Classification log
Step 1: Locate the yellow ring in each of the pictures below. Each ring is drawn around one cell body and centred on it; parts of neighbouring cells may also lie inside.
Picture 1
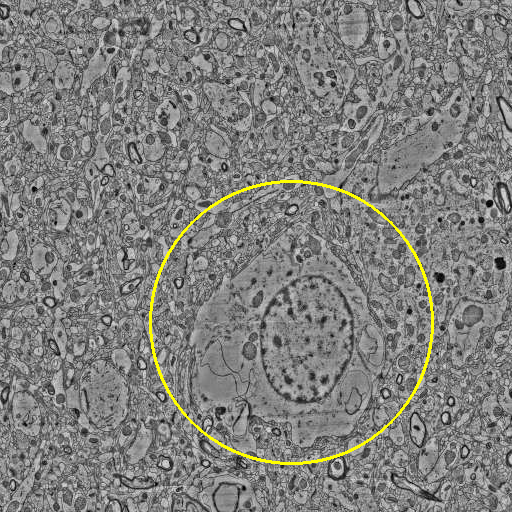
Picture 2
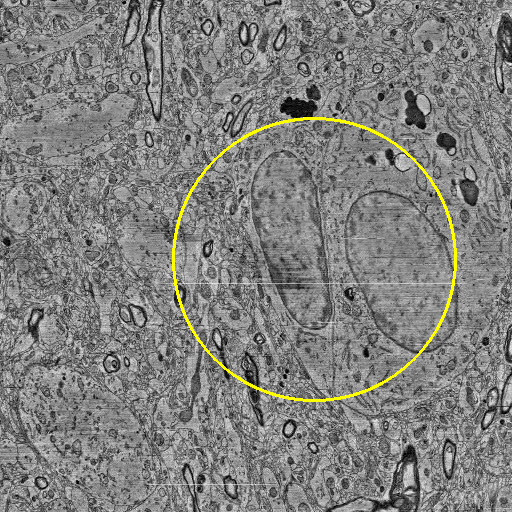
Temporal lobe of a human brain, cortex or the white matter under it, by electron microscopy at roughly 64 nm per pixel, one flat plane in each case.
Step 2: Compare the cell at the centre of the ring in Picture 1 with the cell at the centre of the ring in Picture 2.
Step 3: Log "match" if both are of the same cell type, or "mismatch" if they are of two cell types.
mismatch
